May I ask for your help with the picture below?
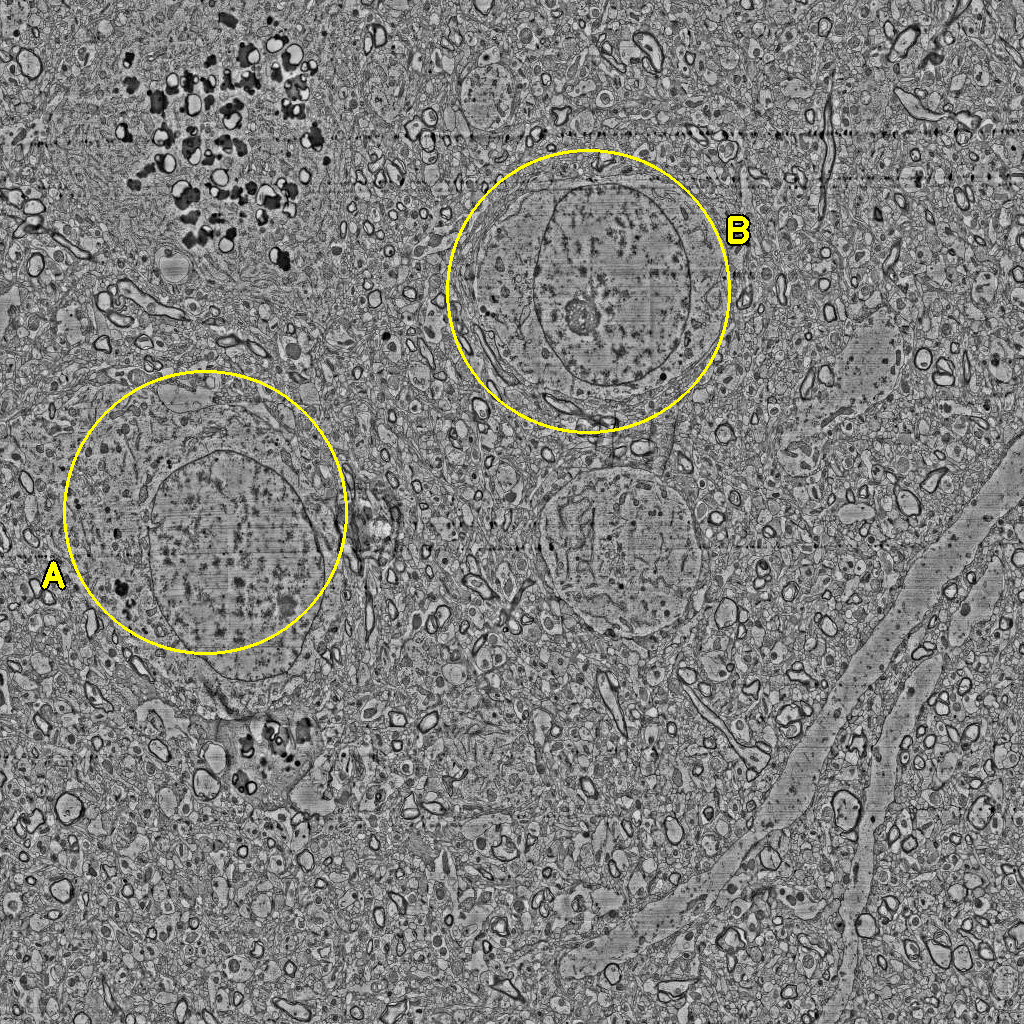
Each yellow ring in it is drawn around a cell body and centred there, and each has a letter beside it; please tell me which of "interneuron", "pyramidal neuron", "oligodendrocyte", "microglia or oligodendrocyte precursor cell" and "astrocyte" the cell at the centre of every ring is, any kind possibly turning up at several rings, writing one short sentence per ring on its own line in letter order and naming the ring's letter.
Ring A is drawn around the cell body of a pyramidal neuron.
Ring B is drawn around the cell body of a pyramidal neuron.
